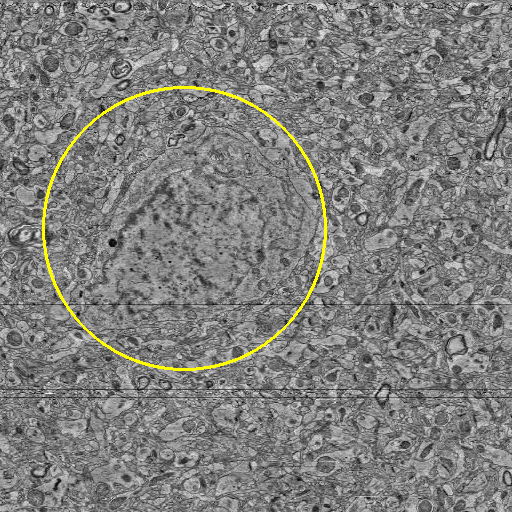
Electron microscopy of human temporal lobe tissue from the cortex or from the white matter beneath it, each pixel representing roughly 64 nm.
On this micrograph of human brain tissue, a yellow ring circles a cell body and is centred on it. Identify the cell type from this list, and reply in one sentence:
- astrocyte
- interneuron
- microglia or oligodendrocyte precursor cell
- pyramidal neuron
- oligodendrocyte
The cell at the centre is an interneuron.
